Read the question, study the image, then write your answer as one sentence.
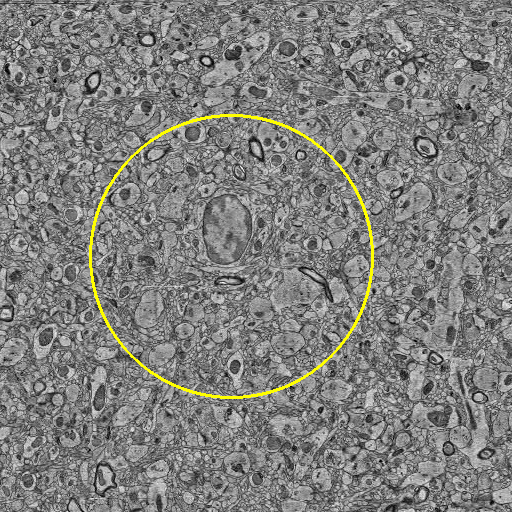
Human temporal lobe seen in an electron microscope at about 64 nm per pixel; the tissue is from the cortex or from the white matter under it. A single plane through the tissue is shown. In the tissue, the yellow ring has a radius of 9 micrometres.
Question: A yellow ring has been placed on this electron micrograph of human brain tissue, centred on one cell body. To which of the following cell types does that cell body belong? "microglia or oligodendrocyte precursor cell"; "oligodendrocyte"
That cell body belongs to a microglial cell or oligodendrocyte precursor cell.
